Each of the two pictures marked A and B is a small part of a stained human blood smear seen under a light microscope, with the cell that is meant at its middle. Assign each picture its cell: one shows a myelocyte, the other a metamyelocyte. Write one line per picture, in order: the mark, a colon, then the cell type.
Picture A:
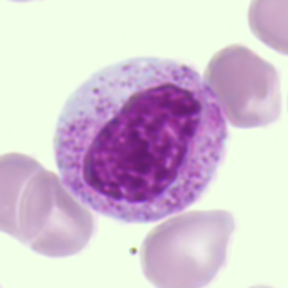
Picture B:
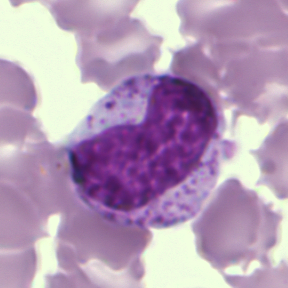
A: myelocyte
B: metamyelocyte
